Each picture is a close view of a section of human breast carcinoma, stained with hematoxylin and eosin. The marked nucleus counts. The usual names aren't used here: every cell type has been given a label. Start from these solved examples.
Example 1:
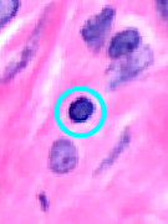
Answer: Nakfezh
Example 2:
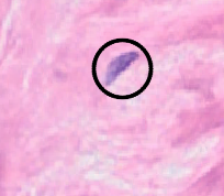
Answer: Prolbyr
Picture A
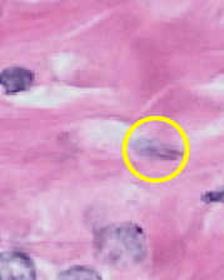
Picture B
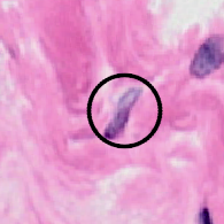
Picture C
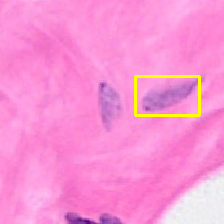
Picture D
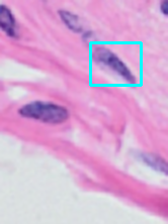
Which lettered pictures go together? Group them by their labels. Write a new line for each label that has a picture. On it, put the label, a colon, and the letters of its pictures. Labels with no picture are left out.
Prolbyr: A, B, C, D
